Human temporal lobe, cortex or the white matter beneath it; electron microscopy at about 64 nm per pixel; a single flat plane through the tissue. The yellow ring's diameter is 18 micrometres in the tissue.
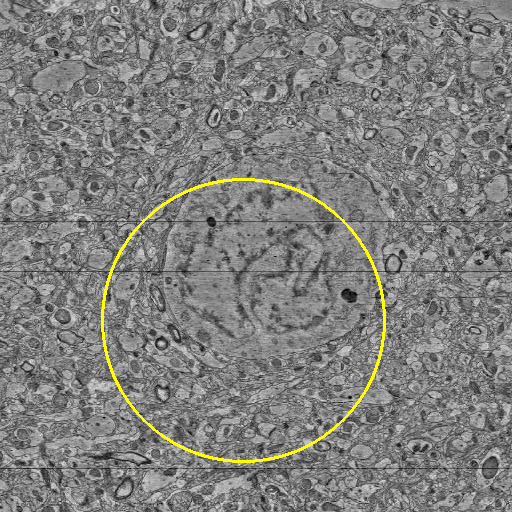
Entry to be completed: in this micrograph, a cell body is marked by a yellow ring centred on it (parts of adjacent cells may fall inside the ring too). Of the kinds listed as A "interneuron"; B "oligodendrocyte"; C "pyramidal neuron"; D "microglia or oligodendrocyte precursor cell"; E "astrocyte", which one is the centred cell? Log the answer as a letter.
A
